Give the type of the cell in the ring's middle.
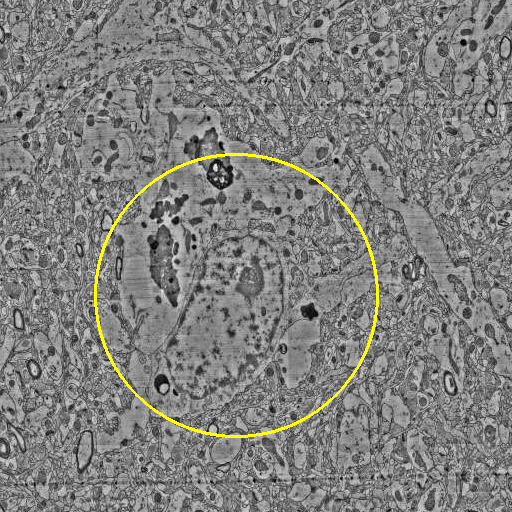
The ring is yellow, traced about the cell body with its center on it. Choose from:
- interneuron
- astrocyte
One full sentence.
Here, an interneuron is the cell lying at the center of the yellow ring.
